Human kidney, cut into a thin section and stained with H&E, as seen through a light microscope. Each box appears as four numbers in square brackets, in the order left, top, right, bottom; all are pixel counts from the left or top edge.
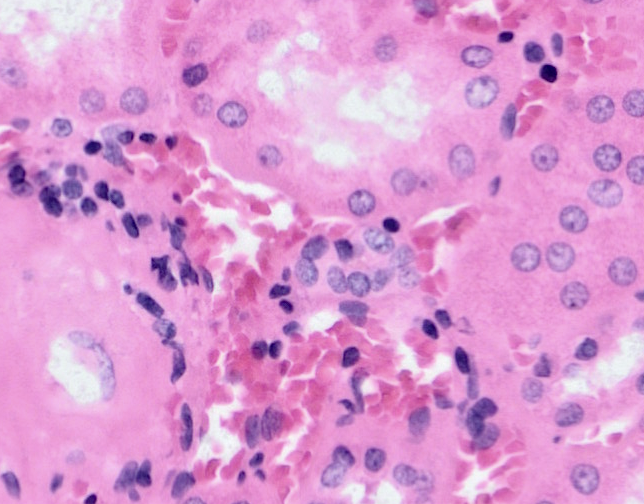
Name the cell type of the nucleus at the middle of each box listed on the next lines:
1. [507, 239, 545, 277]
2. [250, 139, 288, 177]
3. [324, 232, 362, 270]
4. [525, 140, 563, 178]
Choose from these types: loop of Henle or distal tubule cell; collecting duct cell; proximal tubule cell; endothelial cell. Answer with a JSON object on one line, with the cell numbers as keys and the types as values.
{"1": "proximal tubule cell", "2": "proximal tubule cell", "3": "collecting duct cell", "4": "proximal tubule cell"}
